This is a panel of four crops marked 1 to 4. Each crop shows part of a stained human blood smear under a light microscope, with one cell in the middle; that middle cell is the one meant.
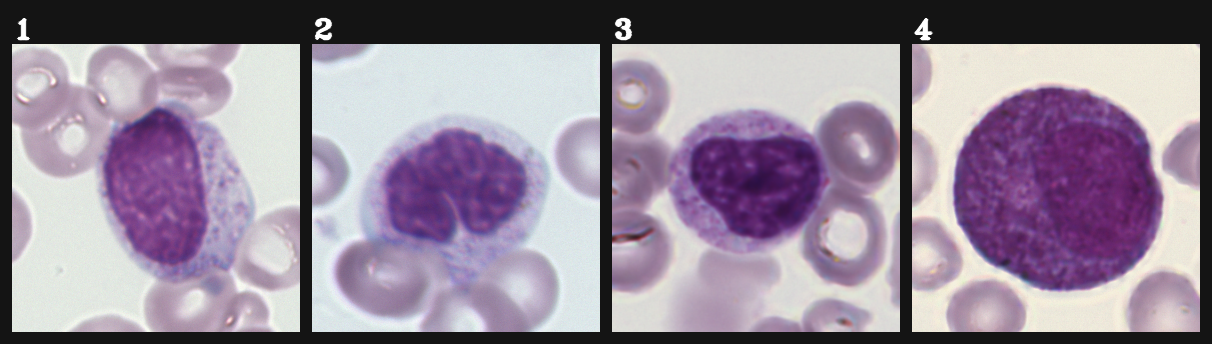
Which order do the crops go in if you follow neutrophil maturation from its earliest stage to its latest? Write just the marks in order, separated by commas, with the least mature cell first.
4, 1, 3, 2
